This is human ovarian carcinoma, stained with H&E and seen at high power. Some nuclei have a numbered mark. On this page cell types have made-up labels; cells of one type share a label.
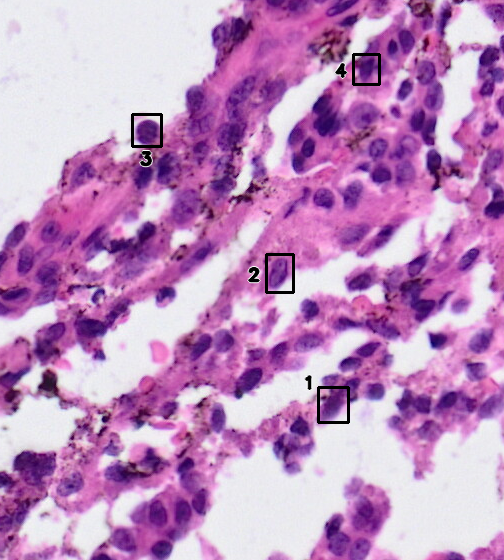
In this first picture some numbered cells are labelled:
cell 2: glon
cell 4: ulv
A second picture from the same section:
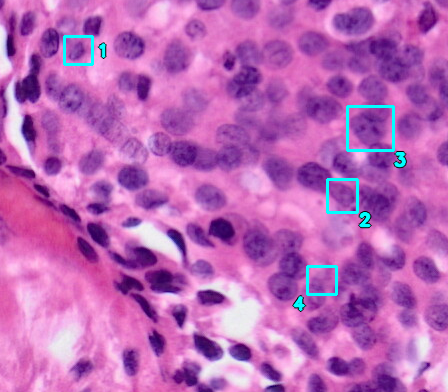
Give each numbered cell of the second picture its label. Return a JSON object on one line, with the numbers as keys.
{"1": "glon", "2": "ulv", "3": "ulv", "4": "ulv"}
